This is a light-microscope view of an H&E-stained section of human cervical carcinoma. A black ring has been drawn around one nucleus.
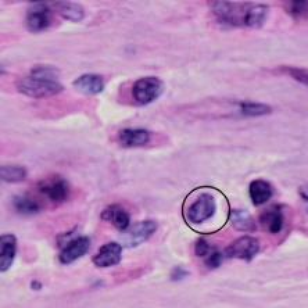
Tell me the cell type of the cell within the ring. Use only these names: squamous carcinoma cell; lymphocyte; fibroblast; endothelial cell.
lymphocyte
